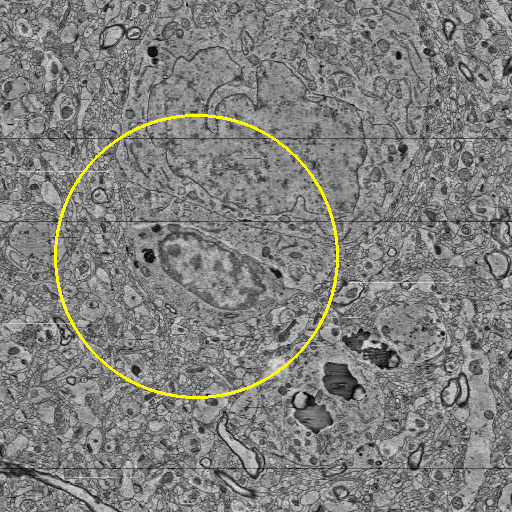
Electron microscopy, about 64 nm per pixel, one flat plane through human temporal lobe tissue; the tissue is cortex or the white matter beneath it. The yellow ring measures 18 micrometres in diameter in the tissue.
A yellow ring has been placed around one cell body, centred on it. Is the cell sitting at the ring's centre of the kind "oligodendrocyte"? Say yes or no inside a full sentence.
Yes, the cell sitting at the centre of the yellow ring is of that kind.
